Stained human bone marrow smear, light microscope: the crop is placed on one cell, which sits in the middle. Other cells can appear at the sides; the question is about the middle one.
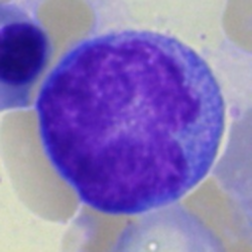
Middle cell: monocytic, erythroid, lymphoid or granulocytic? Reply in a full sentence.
What the central cell belongs to is the monocytic lineage.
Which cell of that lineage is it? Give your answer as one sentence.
In short, the cell at the center is a monocyte.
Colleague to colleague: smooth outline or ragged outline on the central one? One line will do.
From every side, the cell boundary is smooth and free of projections.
